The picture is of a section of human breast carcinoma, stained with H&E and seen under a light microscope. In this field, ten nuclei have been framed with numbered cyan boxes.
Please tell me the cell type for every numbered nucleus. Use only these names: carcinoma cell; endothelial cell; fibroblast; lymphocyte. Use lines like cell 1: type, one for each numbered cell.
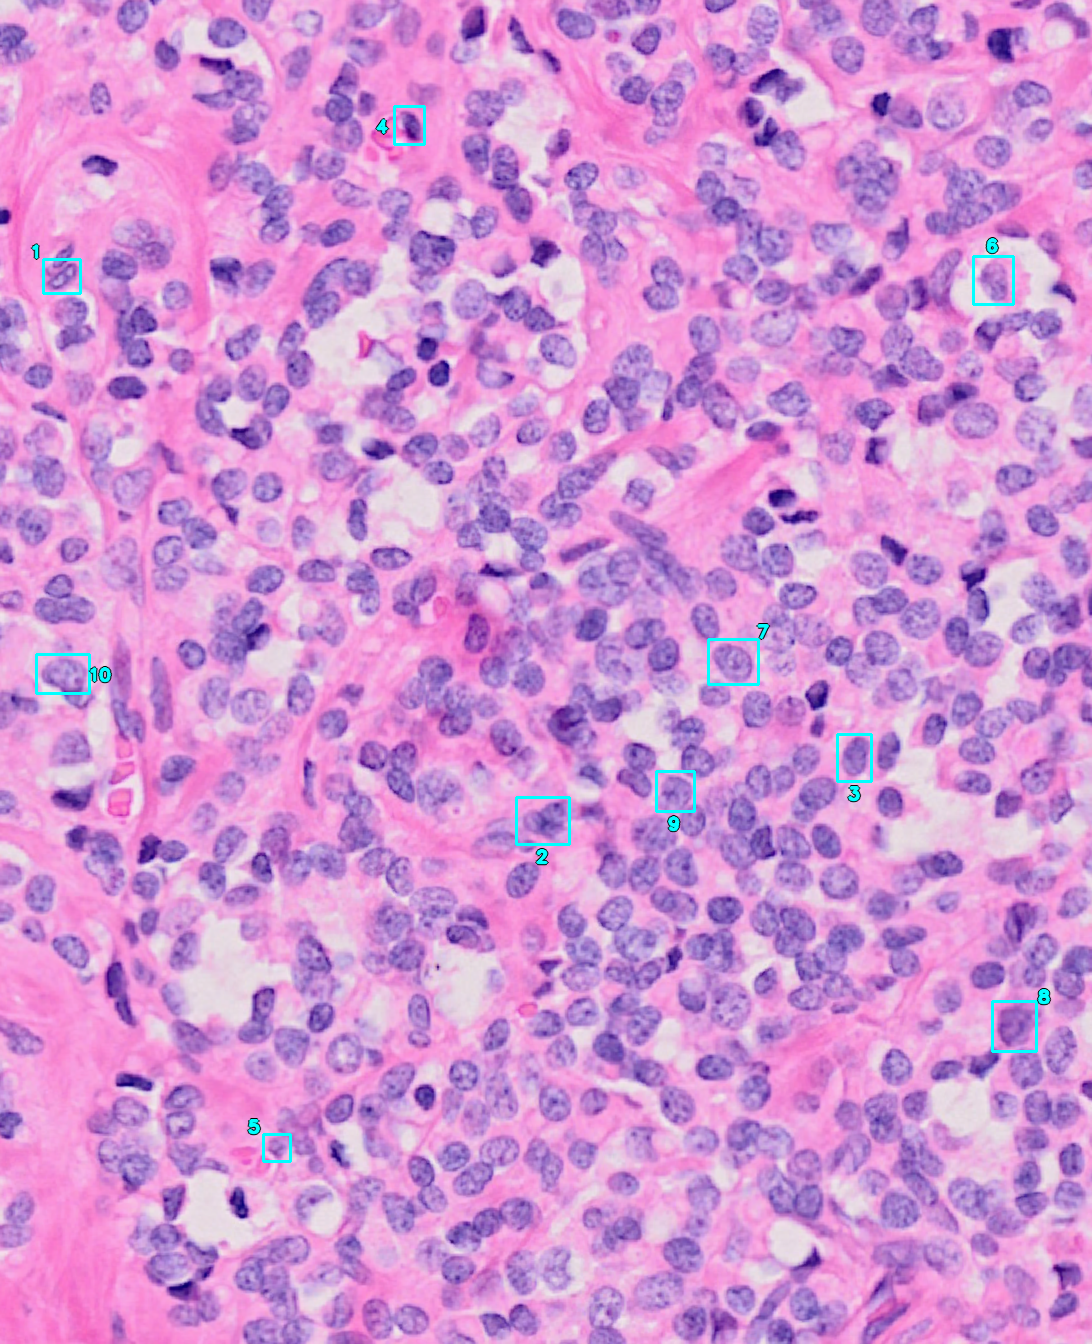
cell 1: endothelial cell
cell 2: endothelial cell
cell 3: carcinoma cell
cell 4: endothelial cell
cell 5: endothelial cell
cell 6: carcinoma cell
cell 7: carcinoma cell
cell 8: carcinoma cell
cell 9: carcinoma cell
cell 10: carcinoma cell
